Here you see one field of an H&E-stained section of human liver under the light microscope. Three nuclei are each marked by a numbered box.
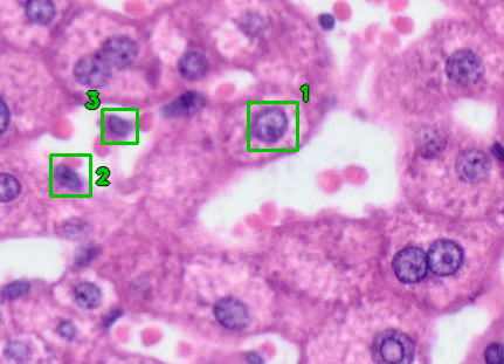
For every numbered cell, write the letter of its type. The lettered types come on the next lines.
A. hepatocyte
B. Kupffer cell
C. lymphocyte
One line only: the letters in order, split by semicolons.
A; B; B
